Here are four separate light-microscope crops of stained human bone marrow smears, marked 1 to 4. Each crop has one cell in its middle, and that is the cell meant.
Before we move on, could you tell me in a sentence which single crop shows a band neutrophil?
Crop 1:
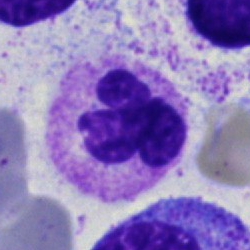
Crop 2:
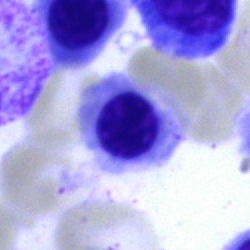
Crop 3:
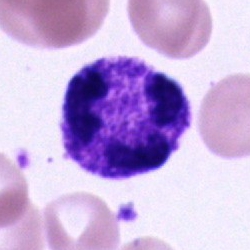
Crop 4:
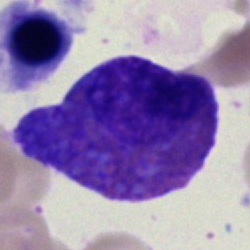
Crop 1 is the one depicting a band neutrophil.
